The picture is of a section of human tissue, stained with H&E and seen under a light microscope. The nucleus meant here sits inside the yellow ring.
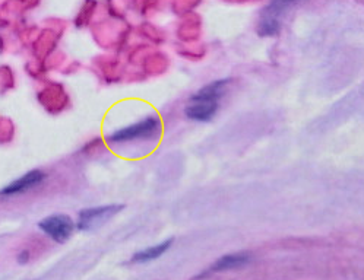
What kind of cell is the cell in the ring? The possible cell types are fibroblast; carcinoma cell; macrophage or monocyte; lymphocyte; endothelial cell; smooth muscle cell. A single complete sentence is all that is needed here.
Histopathologically, the cell in the ring is an endothelial cell.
